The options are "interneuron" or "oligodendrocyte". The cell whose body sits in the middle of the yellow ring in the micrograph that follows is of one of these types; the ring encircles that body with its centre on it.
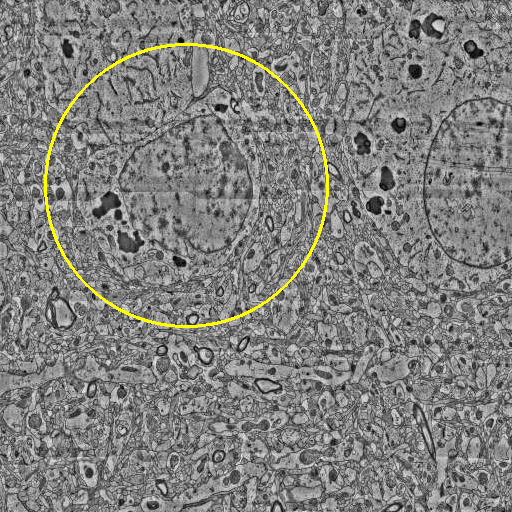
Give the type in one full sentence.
Going by the micrograph, the cell centred in the yellow ring is an interneuron.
